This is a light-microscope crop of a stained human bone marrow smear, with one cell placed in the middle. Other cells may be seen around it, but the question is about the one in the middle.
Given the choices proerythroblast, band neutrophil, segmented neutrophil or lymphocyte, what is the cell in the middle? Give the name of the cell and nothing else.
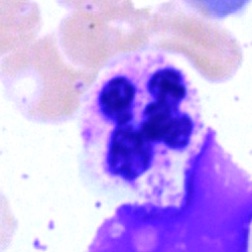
segmented neutrophil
